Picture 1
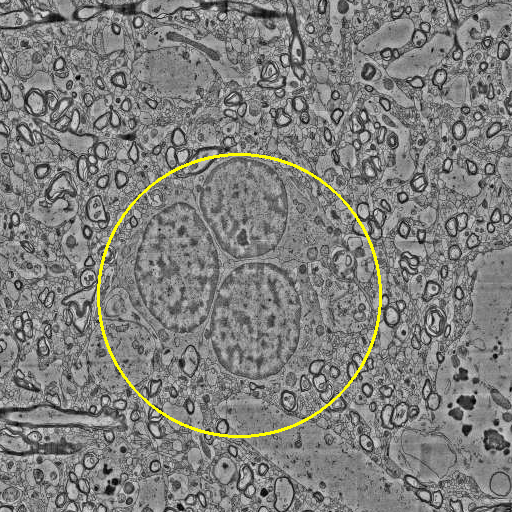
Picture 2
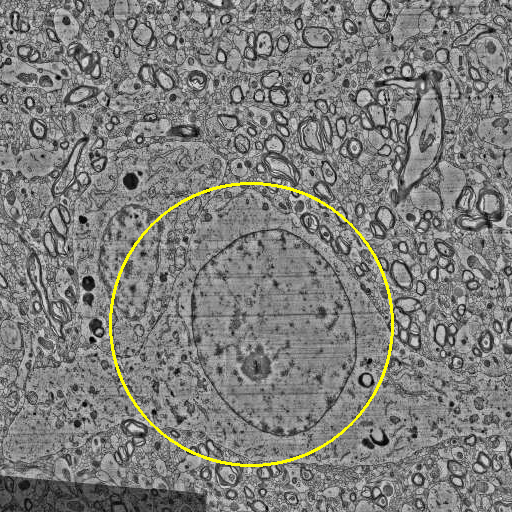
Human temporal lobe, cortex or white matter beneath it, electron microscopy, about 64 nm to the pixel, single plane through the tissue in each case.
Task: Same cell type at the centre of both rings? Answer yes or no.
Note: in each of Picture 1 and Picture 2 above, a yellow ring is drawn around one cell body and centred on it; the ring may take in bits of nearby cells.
no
